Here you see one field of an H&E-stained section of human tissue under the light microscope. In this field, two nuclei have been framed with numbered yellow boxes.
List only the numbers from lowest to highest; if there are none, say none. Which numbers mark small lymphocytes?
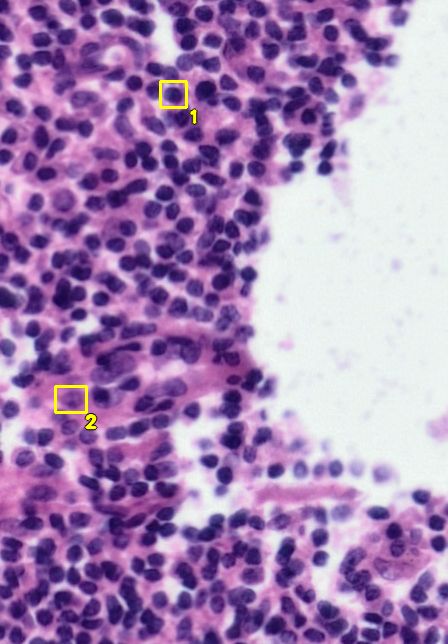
1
